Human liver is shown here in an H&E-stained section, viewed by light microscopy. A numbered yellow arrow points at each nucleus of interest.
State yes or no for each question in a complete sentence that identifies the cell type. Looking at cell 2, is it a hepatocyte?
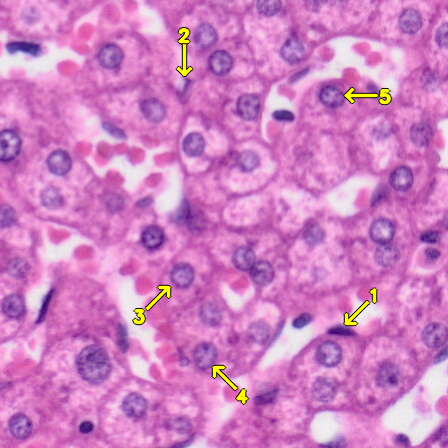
No, the cell given number 2 is an endothelial cell, as opposed to a hepatocyte.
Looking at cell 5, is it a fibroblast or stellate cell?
No, what number 5 shows is a hepatocyte, not a fibroblast or stellate cell.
